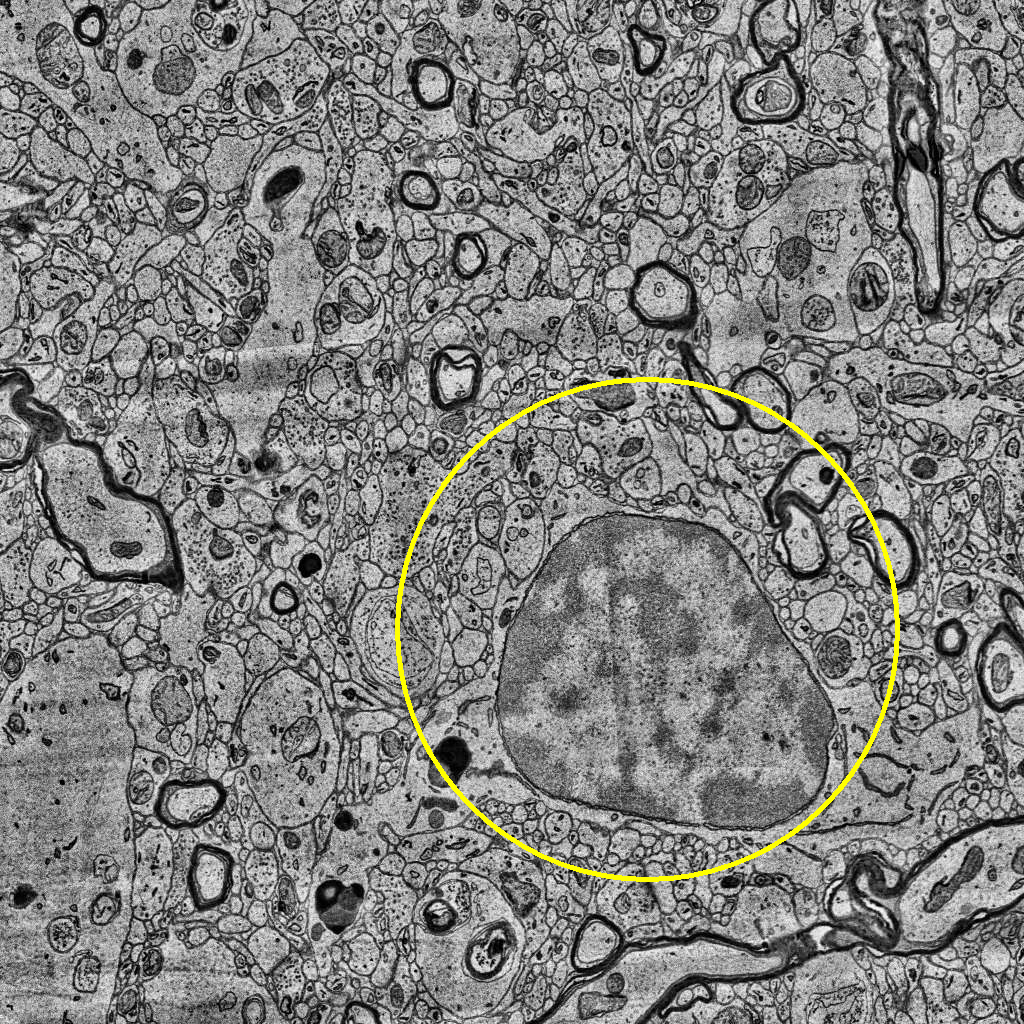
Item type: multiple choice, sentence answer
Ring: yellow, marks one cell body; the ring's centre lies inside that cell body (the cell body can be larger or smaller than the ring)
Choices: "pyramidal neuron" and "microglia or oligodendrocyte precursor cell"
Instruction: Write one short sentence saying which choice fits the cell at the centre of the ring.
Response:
The centre of this ring lies on a microglial cell or oligodendrocyte precursor cell.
